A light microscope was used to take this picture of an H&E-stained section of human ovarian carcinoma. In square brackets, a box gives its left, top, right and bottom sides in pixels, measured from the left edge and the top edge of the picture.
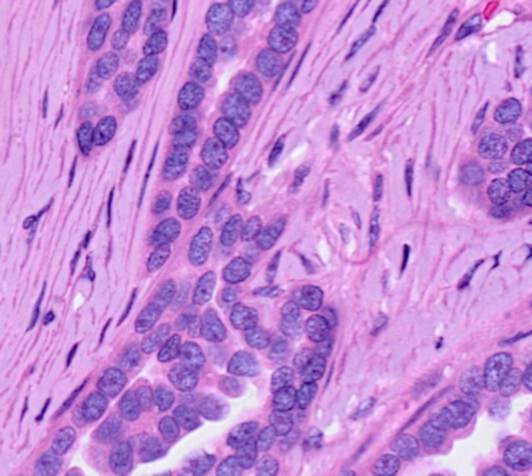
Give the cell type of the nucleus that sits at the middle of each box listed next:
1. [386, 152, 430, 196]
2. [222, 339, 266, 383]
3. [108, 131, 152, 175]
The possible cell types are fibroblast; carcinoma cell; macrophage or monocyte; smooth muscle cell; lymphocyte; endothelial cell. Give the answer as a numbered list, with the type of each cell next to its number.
1. fibroblast
2. carcinoma cell
3. fibroblast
